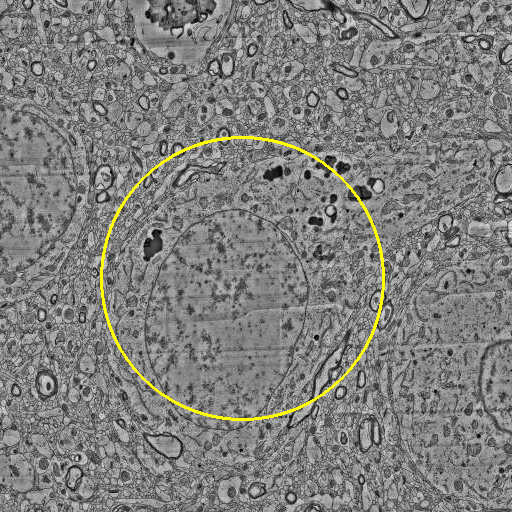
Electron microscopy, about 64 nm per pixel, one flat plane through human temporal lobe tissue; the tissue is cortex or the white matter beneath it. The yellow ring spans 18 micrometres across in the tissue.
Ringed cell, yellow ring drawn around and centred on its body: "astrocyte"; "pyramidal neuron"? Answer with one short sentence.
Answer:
This ringed cell is a pyramidal neuron.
